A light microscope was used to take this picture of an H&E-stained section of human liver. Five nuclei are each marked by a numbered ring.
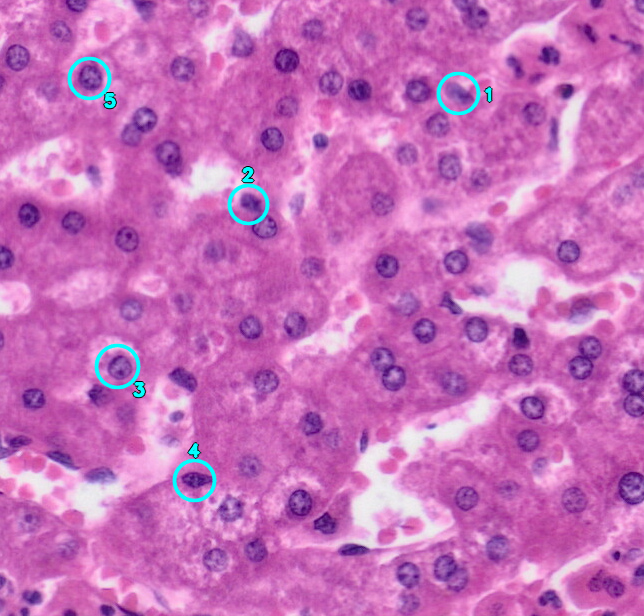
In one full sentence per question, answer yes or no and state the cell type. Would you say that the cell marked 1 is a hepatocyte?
No, as for cell 1, it is an endothelial cell and not a hepatocyte.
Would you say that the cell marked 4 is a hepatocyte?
No, cell 4 is to be read as a fibroblast or stellate cell, not a hepatocyte.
